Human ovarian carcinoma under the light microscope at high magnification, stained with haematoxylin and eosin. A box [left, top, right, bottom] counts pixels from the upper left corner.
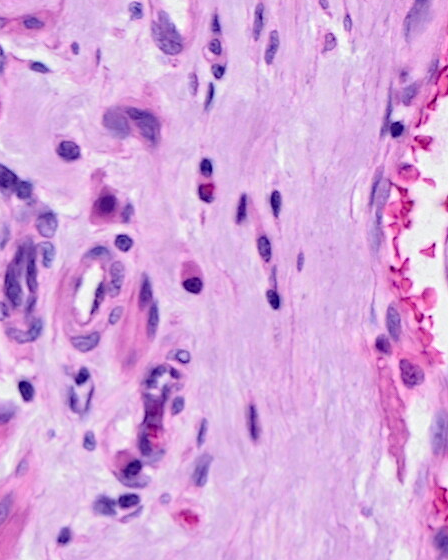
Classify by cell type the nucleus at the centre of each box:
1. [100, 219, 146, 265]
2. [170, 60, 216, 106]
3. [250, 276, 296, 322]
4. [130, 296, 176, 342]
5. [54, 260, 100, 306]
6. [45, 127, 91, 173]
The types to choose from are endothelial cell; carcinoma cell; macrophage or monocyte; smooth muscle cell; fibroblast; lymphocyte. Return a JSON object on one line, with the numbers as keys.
{"1": "lymphocyte", "2": "fibroblast", "3": "lymphocyte", "4": "smooth muscle cell", "5": "endothelial cell", "6": "lymphocyte"}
